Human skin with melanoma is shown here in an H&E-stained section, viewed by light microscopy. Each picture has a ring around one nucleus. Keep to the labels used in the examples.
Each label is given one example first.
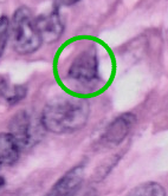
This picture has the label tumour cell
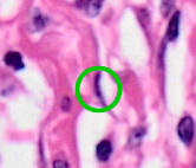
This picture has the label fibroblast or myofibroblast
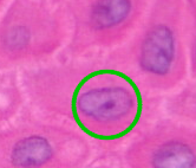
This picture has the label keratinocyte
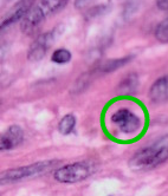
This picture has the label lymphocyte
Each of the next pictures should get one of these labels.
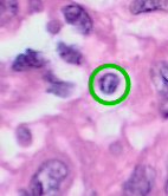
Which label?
lymphocyte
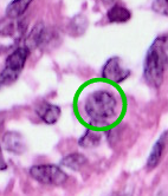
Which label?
tumour cell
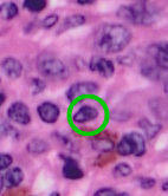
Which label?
lymphocyte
